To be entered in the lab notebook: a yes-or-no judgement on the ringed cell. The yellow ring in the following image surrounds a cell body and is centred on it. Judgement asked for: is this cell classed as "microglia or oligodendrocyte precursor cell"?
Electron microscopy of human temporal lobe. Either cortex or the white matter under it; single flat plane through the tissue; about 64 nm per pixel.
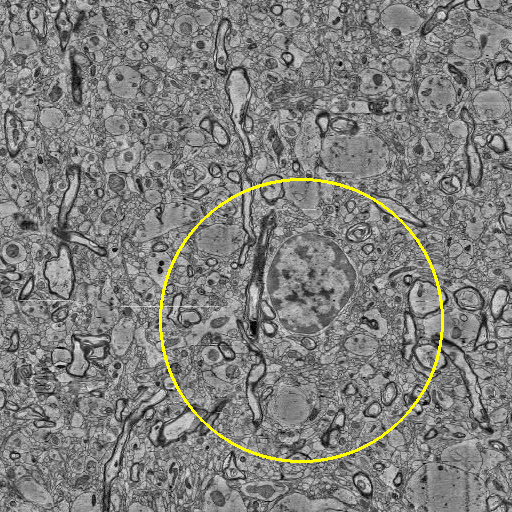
Yes, it is classed that way.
